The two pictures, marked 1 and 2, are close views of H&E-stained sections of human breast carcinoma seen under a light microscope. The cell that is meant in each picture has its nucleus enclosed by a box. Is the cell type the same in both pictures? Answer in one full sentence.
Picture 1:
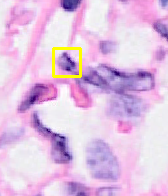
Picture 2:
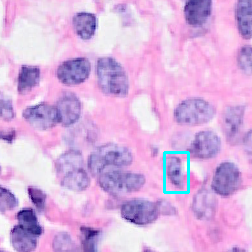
Yes, the two pictures both show endothelial cells.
